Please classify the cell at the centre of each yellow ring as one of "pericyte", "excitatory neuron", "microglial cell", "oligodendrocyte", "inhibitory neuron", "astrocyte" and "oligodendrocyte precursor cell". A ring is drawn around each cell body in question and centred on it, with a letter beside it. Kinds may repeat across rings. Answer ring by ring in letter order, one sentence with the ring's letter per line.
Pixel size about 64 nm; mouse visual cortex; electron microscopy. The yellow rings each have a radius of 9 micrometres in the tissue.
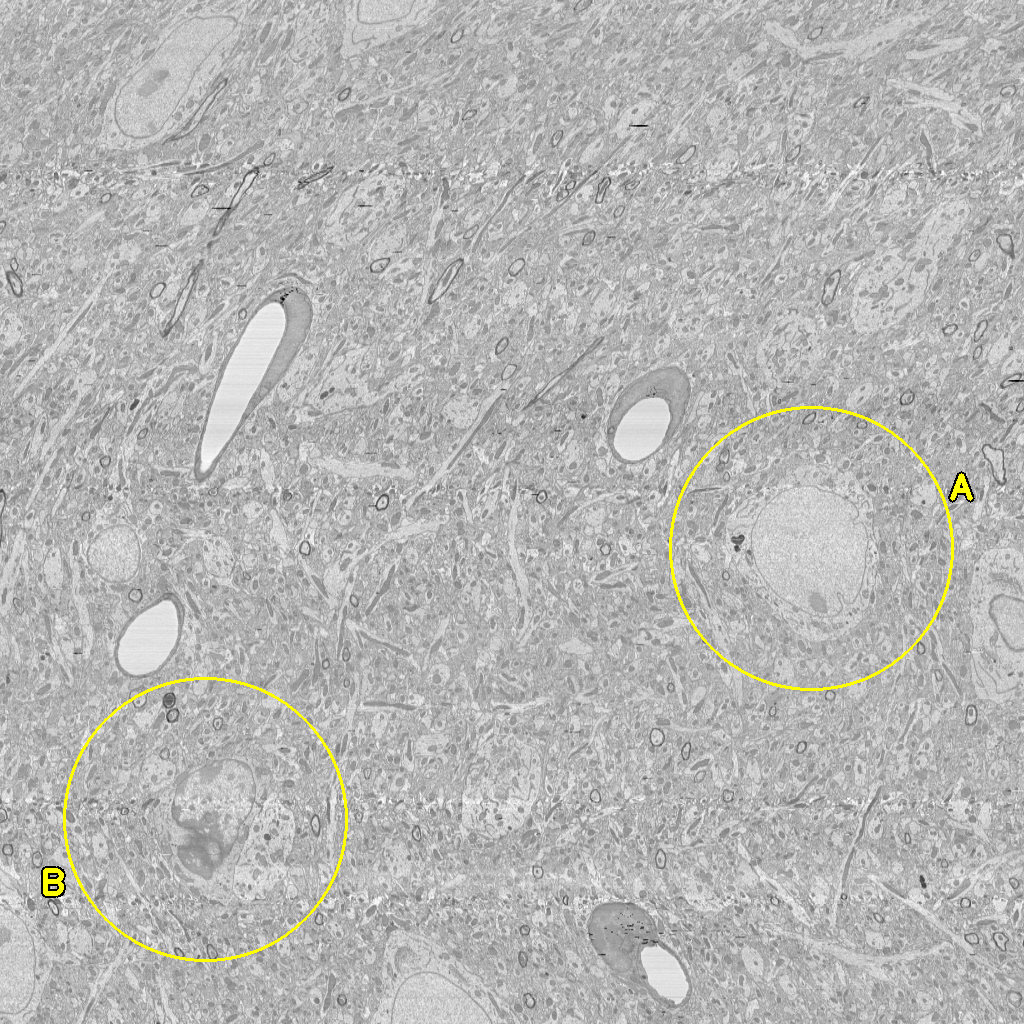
The cell at the heart of ring A is an excitatory neuron.
The cell at the heart of ring B is an oligodendrocyte.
